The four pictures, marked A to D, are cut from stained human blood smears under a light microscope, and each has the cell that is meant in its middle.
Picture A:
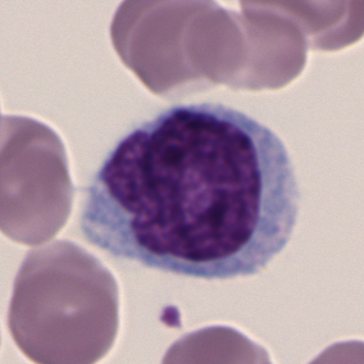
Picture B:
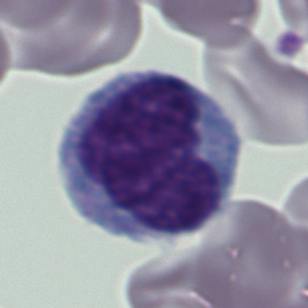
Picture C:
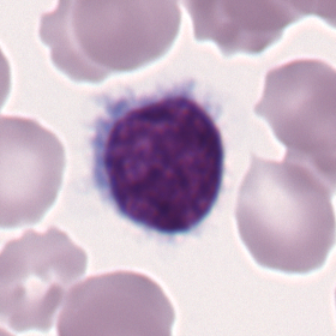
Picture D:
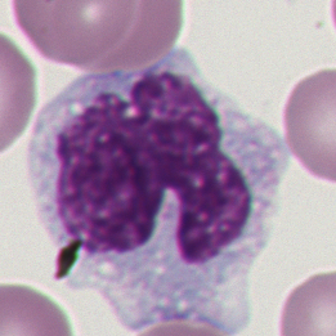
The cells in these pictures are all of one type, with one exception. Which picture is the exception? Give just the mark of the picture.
C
